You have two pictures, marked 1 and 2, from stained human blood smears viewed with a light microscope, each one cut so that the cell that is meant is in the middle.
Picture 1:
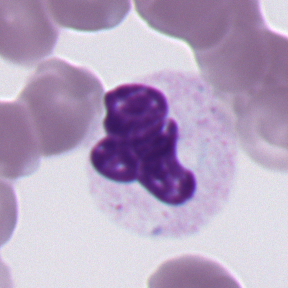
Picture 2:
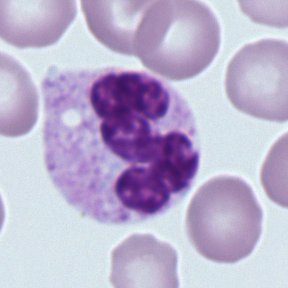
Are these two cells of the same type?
yes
